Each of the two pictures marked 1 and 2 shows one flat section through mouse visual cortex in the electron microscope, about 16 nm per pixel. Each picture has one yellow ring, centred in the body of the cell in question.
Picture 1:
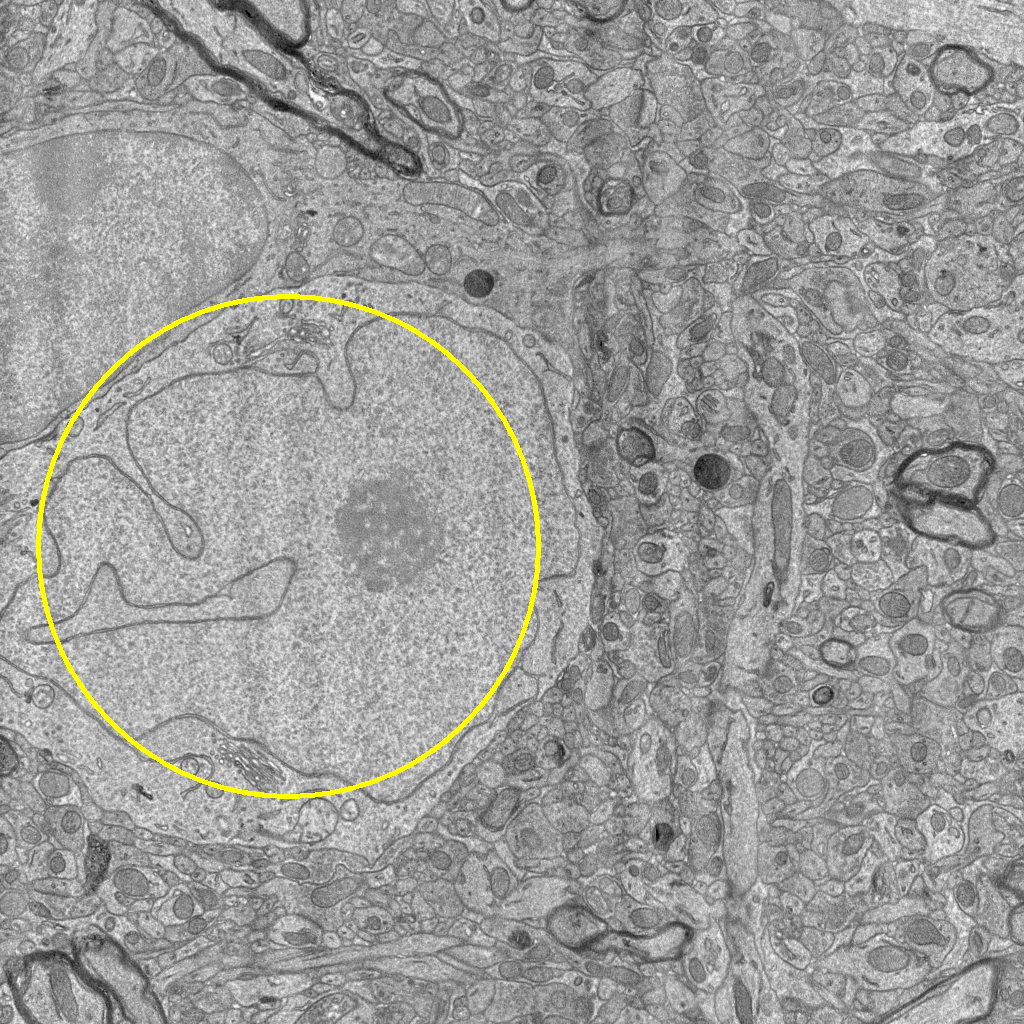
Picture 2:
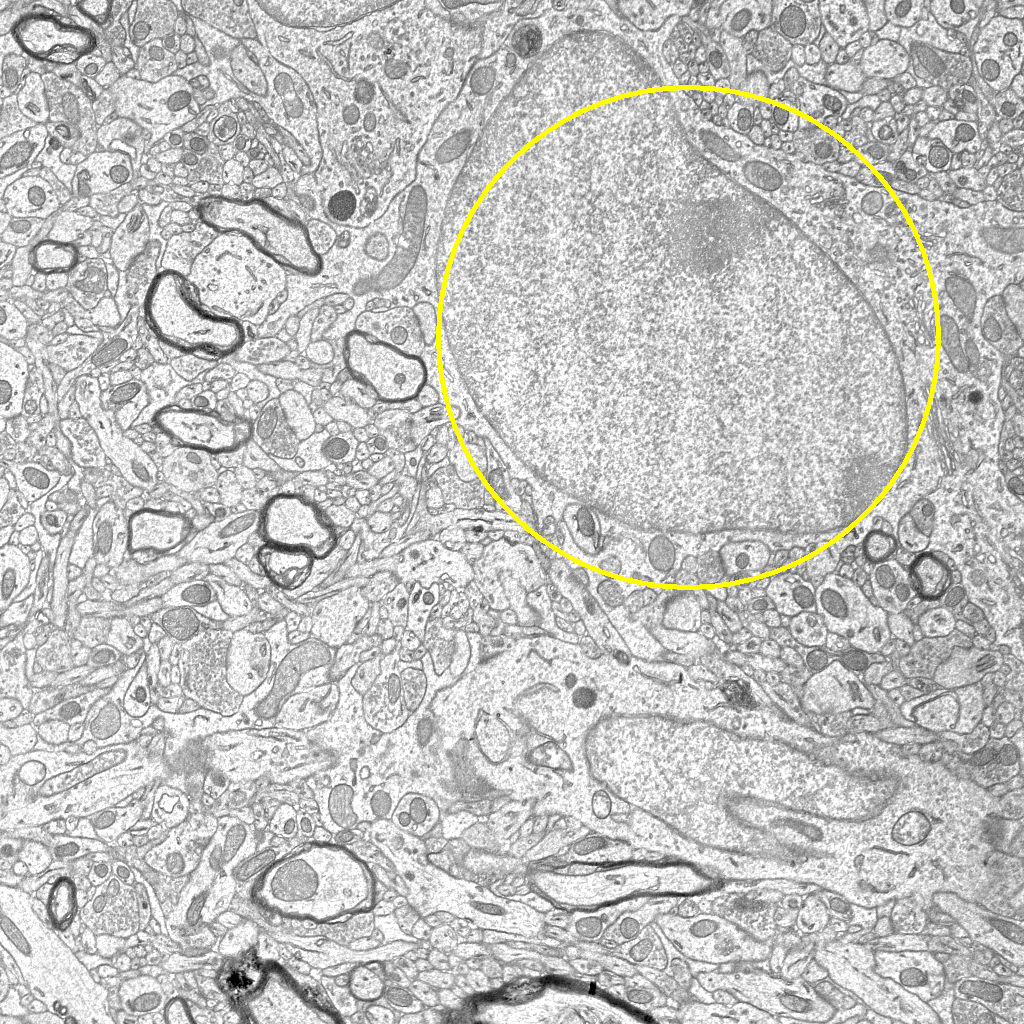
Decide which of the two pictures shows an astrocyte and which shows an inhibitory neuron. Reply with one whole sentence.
Picture 1 shows an inhibitory neuron and picture 2 shows an astrocyte.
